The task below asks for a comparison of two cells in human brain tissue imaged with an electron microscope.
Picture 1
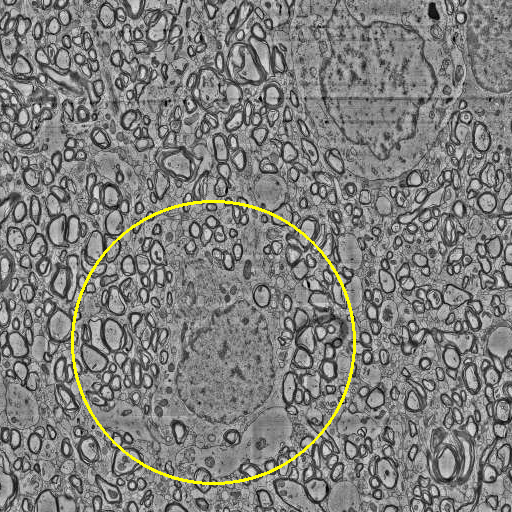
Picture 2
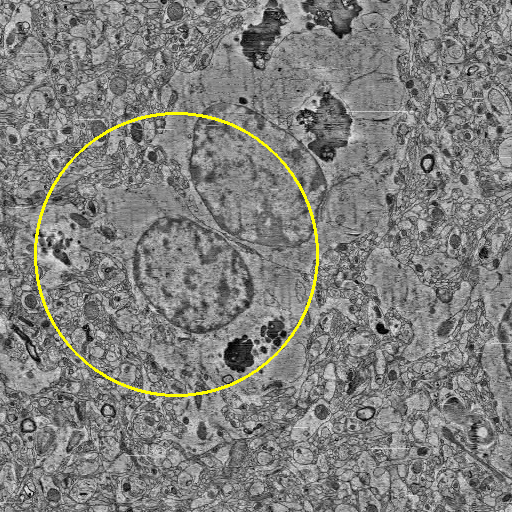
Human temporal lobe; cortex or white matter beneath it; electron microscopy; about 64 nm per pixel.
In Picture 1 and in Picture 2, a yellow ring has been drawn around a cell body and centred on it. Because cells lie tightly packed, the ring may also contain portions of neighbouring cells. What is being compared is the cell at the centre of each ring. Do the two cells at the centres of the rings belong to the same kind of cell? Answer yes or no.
yes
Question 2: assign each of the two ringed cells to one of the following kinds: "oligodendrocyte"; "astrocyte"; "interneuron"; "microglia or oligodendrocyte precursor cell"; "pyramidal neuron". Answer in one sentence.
Both pictures show an astrocyte at the centre of the ring.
